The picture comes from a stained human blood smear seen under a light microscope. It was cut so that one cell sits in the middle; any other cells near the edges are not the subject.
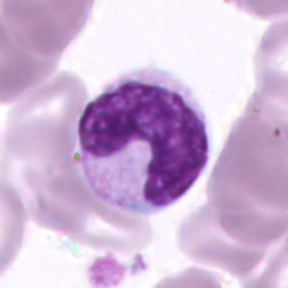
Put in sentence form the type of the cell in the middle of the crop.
The centrally positioned cell in the crop represents a band neutrophil.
